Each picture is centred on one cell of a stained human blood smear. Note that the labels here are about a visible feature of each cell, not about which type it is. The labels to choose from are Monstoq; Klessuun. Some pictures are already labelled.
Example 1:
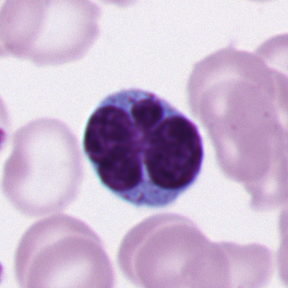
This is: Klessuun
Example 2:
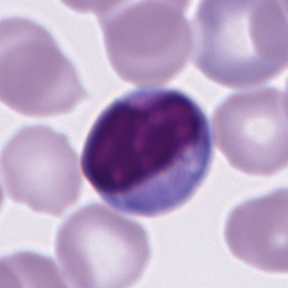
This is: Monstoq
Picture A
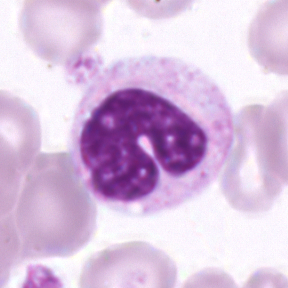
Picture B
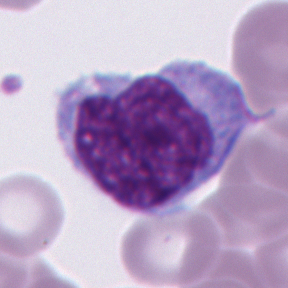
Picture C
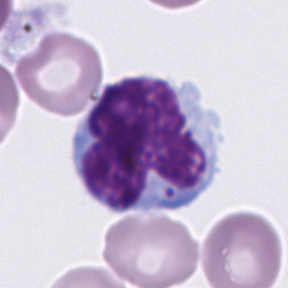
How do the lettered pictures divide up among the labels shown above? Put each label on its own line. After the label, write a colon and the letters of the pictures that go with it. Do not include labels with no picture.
Monstoq: A, B
Klessuun: C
